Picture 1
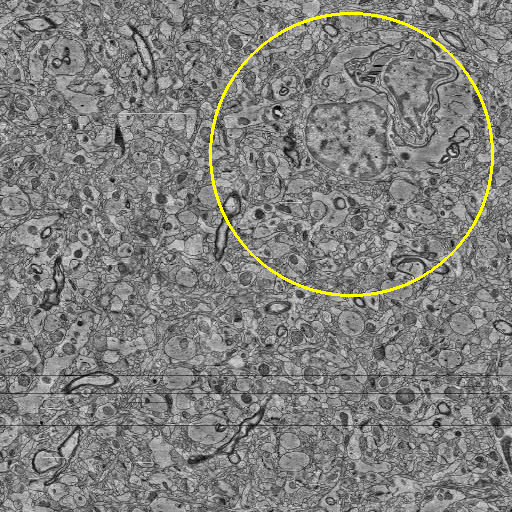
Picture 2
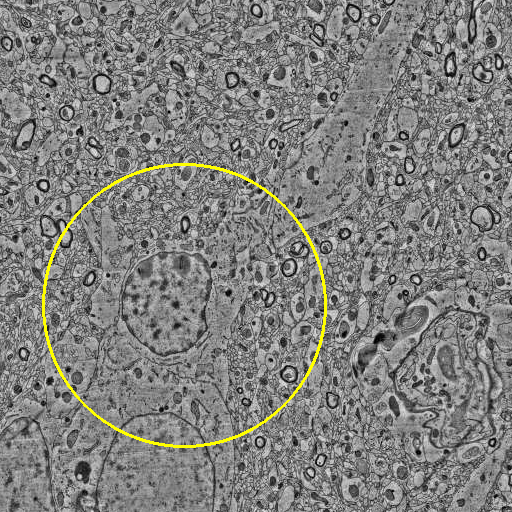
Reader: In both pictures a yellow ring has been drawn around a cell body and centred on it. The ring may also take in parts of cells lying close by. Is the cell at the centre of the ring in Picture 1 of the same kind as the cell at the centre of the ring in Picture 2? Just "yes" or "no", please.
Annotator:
no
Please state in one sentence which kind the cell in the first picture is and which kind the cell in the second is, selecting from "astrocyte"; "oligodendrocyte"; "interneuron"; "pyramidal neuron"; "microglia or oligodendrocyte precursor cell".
The first ringed cell is an oligodendrocyte, the second ringed cell a microglial cell or oligodendrocyte precursor cell.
